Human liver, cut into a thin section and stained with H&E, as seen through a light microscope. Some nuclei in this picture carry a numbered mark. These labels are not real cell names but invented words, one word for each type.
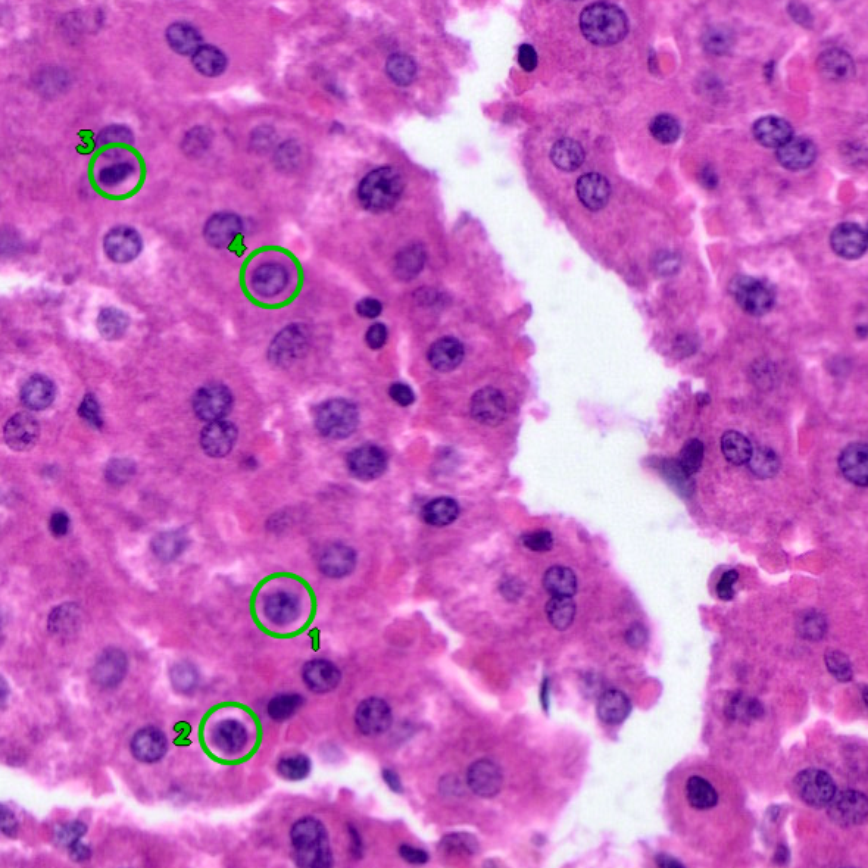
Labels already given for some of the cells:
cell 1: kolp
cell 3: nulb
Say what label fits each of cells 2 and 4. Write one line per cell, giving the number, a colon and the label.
2: kolp
4: kolp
